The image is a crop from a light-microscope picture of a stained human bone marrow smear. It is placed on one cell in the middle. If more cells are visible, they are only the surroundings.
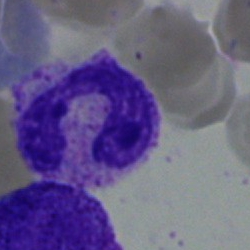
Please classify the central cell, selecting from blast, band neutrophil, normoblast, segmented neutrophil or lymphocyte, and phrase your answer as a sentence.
Of the cells in this crop, the central one is a band neutrophil.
